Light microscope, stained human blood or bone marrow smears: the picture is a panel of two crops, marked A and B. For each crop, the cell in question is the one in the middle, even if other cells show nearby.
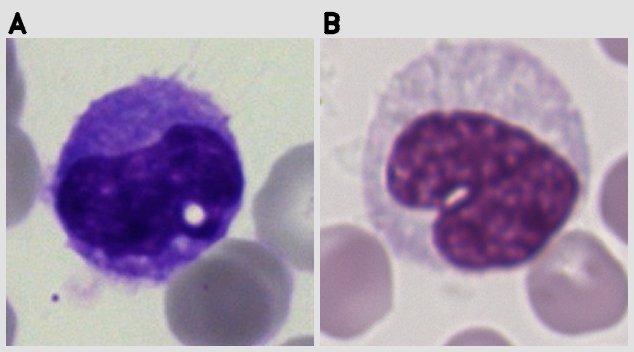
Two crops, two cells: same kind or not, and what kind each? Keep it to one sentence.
No, that is not right; crop A shows a monocyte and crop B shows a band neutrophil.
